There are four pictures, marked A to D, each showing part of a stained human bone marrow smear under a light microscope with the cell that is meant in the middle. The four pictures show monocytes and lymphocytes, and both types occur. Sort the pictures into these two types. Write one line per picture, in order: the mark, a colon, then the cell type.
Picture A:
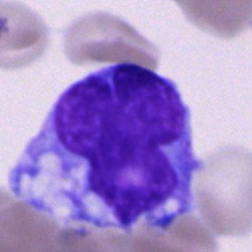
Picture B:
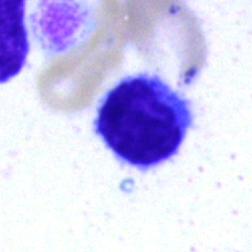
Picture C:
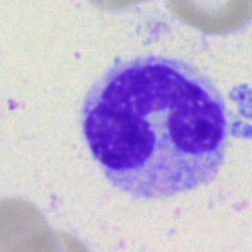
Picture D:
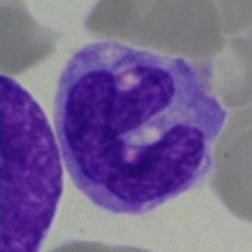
A: monocyte
B: lymphocyte
C: monocyte
D: monocyte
